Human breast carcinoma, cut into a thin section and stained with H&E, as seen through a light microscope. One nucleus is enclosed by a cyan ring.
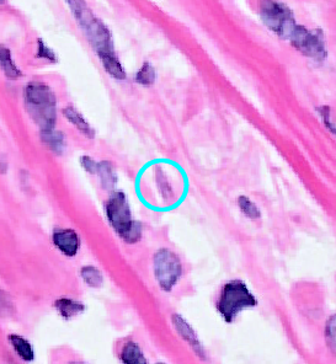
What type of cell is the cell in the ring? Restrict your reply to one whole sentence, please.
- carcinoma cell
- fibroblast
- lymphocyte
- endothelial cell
The expected answer is simply that the cell in the ring is a fibroblast.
